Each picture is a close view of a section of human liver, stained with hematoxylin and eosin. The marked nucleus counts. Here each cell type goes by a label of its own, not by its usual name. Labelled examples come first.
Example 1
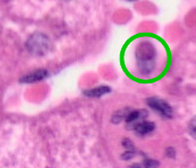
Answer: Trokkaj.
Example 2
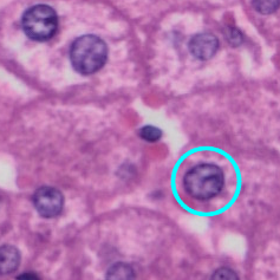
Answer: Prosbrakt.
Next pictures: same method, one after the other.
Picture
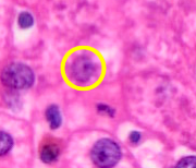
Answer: Prosbrakt.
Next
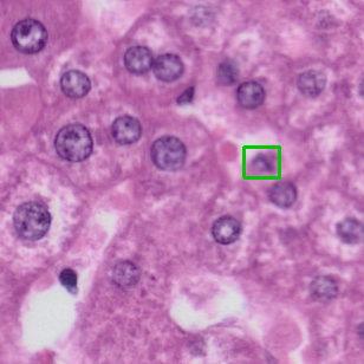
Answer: Trokkaj.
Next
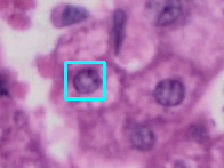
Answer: Prosbrakt.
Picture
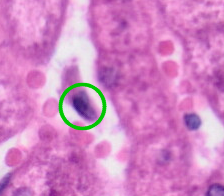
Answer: Trokkaj.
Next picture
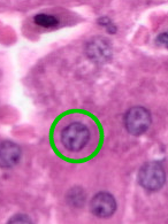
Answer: Prosbrakt.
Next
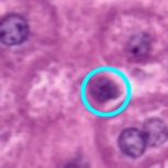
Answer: Trokkaj.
